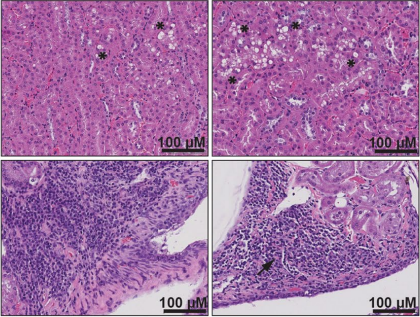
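Kidney sections in pink and purple: the upper images show tubules lined by pink epithelial cells with round nuclei, among which clusters of clear vacuoles appear, more abundant on the right. The lower images show tissue crowded with small, dark, round nuclei of mononuclear cells lying in the interstitium next to an epithelial lining.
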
